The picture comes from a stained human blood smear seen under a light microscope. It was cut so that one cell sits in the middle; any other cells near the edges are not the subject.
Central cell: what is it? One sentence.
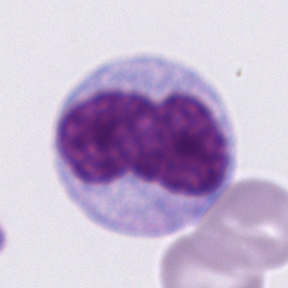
For this crop, the central cell is a monocyte.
